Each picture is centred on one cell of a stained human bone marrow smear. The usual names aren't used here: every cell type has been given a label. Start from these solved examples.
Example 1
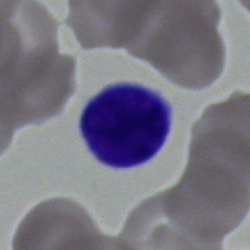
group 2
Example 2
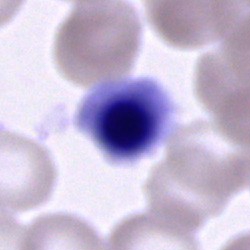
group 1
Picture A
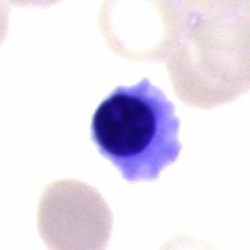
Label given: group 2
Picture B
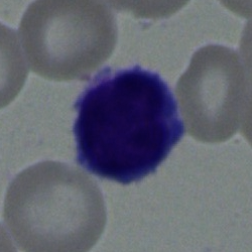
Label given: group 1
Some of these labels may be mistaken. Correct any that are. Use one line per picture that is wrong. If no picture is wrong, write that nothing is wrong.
A: change group 2 to group 1
B: change group 1 to group 2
